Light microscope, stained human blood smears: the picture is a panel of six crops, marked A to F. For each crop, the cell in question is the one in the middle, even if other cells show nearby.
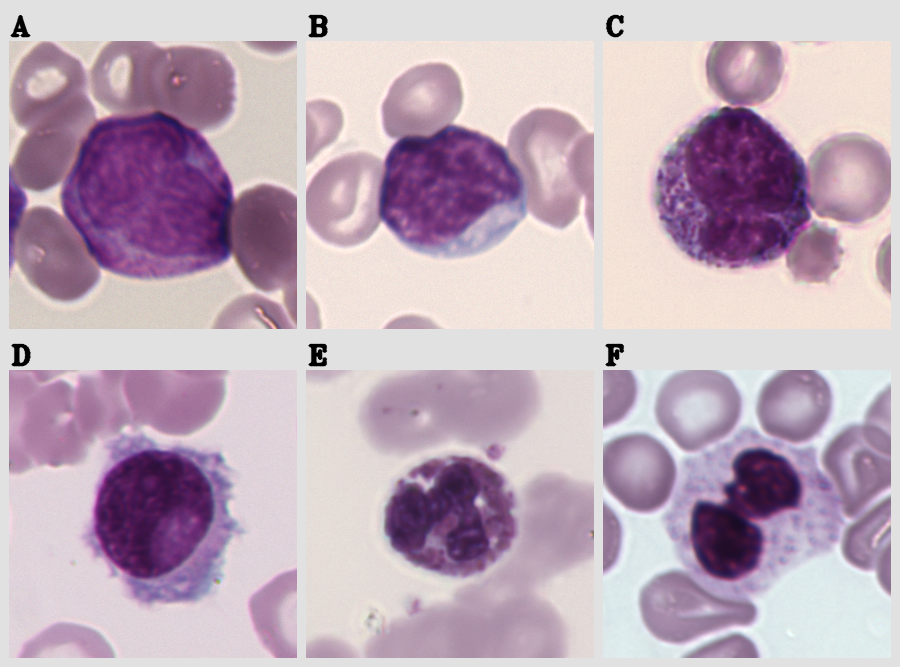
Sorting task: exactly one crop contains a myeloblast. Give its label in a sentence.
Crop B is identified as the crop showing a myeloblast.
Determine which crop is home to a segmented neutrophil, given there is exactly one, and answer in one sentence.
Crop F is the crop in which a segmented neutrophil is shown.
